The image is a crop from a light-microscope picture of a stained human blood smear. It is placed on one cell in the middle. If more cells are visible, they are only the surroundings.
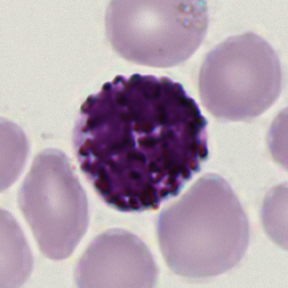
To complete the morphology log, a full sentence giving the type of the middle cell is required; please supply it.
Centrally within this crop lies a basophil.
